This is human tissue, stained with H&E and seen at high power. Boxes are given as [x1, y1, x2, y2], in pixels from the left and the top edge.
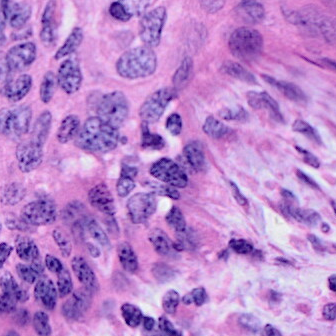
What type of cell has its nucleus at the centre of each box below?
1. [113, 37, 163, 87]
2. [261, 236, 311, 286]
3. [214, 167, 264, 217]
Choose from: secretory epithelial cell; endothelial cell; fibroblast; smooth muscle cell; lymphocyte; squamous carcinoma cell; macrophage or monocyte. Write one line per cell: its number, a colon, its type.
1: squamous carcinoma cell
2: fibroblast
3: fibroblast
